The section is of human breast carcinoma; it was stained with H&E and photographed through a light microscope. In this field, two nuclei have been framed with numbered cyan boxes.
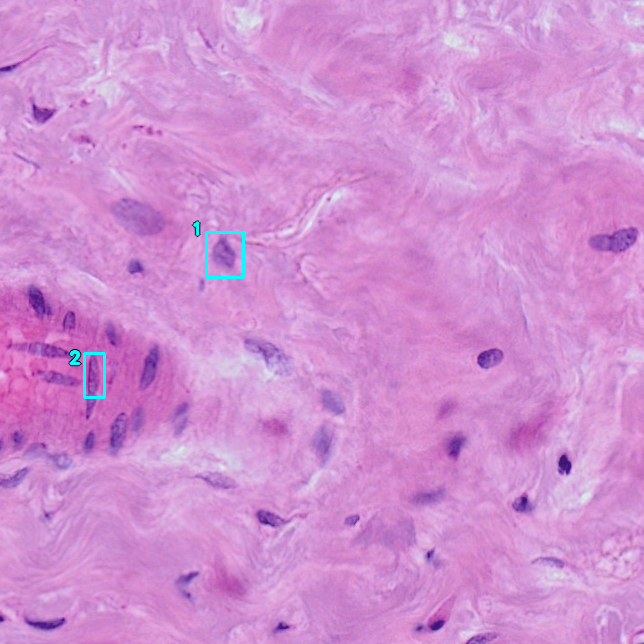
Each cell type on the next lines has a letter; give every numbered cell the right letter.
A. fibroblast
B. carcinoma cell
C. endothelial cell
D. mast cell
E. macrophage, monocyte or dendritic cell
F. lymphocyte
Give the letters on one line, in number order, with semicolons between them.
A; C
